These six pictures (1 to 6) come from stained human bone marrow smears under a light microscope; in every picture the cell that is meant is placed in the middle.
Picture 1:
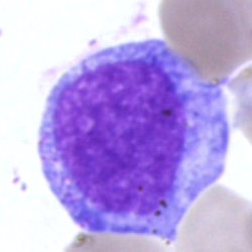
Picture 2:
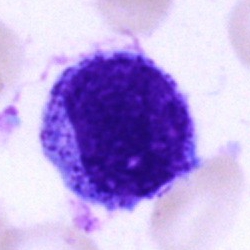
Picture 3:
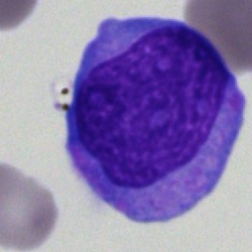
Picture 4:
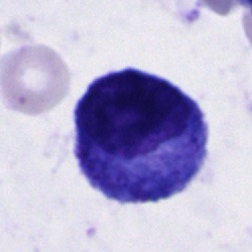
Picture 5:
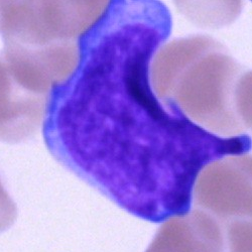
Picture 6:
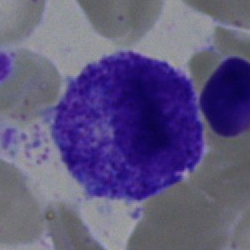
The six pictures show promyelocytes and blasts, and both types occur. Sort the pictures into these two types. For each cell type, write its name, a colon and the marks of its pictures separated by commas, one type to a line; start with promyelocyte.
promyelocyte: 1, 2, 4, 6
blast: 3, 5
